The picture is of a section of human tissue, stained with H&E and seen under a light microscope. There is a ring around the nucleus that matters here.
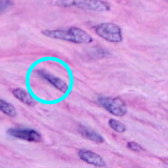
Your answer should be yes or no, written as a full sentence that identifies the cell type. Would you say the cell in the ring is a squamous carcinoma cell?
No, rather than being a squamous carcinoma cell, the cell in the ring is a smooth muscle cell.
